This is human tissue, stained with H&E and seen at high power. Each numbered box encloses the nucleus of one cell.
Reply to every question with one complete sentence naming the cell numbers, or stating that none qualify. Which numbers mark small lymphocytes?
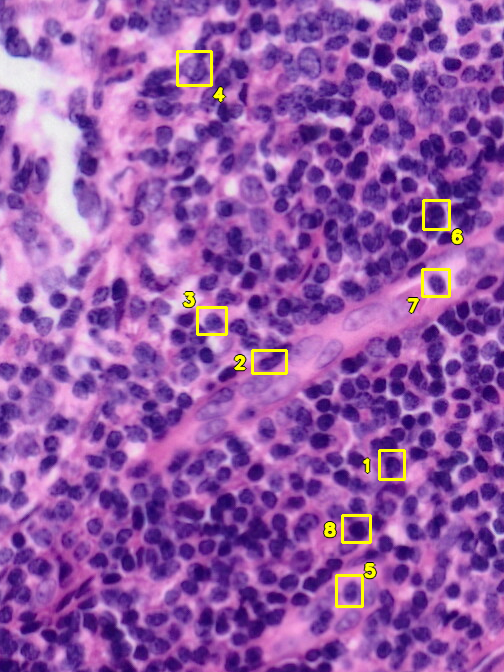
The cells 1, 3, 6 and 8 in this section are small lymphocytes.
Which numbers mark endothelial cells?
In this section, the cells labelled 2, 5 and 7 are endothelial cells.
